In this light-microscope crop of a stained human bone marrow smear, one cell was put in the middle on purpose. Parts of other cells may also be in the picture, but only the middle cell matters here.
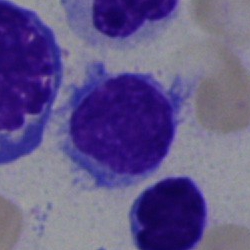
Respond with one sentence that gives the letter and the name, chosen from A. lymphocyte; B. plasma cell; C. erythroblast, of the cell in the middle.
In this crop the central cell is a lymphocyte, which option A correctly states.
